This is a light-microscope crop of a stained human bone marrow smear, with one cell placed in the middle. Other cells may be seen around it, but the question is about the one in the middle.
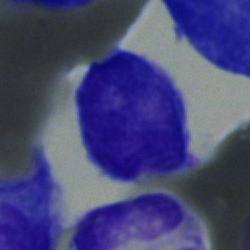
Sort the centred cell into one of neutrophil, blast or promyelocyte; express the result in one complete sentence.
In the middle of this smear crop is a blast.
